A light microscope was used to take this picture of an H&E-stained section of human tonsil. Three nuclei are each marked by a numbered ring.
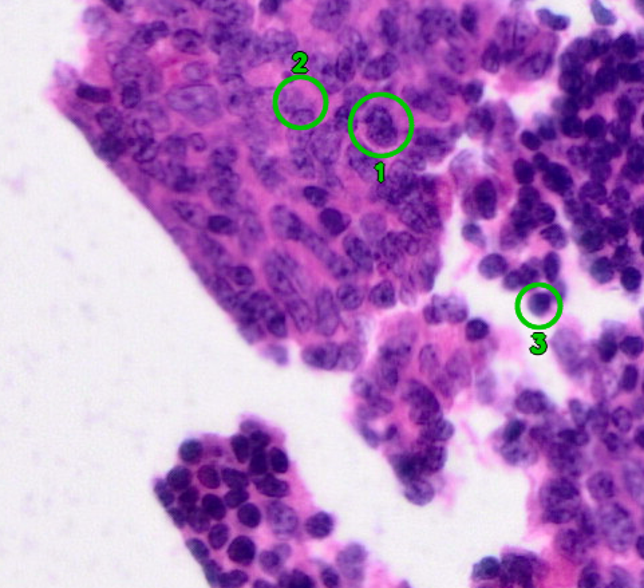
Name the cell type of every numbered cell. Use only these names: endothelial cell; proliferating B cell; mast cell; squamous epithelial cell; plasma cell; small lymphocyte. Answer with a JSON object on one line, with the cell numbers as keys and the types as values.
{"1": "proliferating B cell", "2": "proliferating B cell", "3": "small lymphocyte"}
